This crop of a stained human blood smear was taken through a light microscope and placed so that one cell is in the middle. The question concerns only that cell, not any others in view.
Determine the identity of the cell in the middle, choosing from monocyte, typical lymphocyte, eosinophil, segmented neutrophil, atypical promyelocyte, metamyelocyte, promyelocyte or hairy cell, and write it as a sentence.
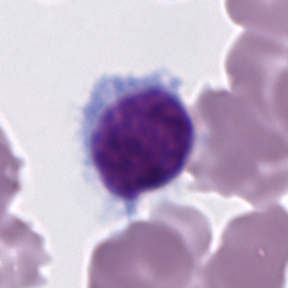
The cell nearest the centre of this crop is a hairy cell.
